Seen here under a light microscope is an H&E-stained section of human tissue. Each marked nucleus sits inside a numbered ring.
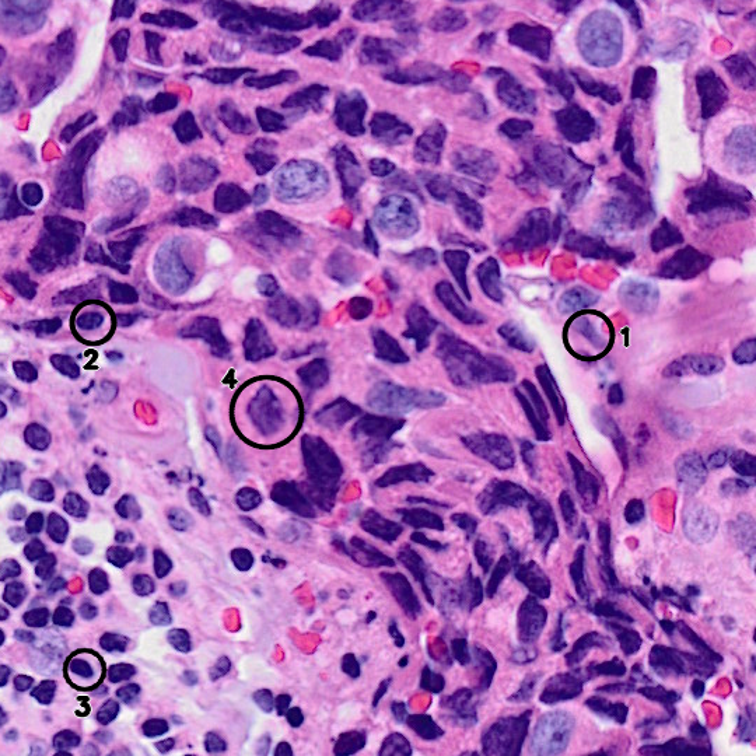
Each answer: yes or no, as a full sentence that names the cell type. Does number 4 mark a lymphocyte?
No, as for cell 4, it is a carcinoma cell and not a lymphocyte.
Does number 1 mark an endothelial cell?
Yes, that is so; number 1 marks an endothelial cell.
